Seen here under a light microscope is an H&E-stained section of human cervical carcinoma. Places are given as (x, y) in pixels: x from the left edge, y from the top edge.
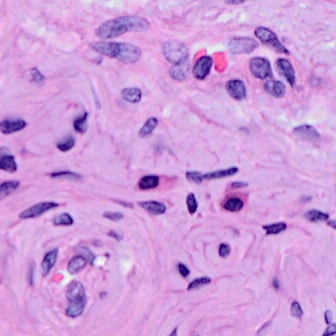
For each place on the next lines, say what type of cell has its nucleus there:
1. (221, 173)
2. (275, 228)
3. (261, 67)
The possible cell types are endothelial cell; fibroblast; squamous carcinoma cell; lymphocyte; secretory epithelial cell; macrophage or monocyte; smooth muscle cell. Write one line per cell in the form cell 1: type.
cell 1: fibroblast
cell 2: fibroblast
cell 3: endothelial cell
